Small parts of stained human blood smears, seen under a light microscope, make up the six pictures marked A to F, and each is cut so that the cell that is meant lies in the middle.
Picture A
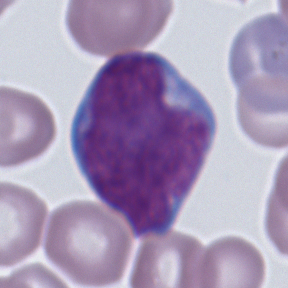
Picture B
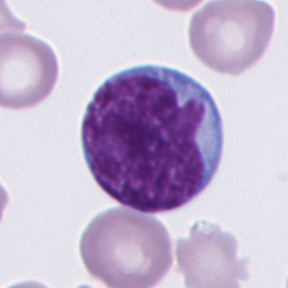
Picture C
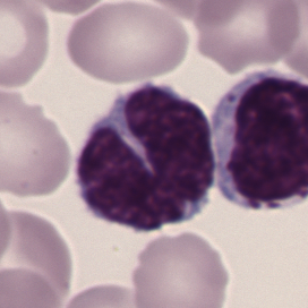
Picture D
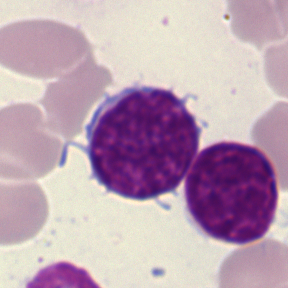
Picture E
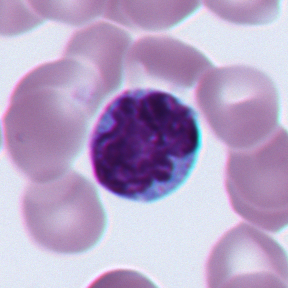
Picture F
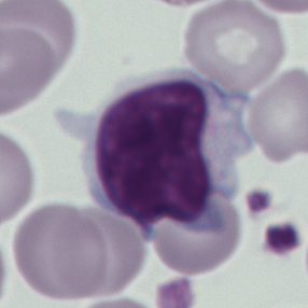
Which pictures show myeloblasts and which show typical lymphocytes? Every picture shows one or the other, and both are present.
A: myeloblast
B: myeloblast
C: typical lymphocyte
D: myeloblast
E: typical lymphocyte
F: typical lymphocyte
